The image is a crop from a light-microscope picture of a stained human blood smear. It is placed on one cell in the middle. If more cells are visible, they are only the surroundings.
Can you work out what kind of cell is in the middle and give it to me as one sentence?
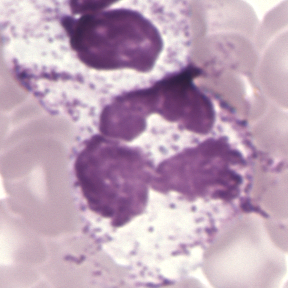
Whatever else lies nearby, the middle cell is a segmented neutrophil.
